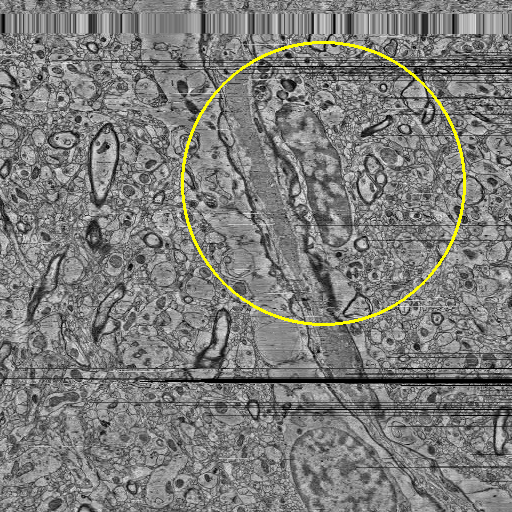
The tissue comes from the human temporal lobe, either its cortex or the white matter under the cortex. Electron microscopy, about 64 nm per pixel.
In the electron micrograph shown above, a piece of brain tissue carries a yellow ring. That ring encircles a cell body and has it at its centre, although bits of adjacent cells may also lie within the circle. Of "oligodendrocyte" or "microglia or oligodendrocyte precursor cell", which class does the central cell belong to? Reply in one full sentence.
The cell body at the centre of the yellow ring belongs to a microglial cell or oligodendrocyte precursor cell.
